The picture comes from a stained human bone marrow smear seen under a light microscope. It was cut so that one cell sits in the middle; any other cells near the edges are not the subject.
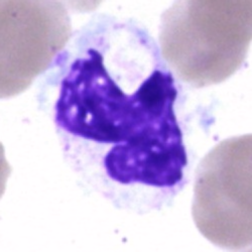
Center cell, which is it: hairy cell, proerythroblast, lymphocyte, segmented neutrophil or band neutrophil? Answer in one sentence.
Standing at the centre of this crop is a segmented neutrophil.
